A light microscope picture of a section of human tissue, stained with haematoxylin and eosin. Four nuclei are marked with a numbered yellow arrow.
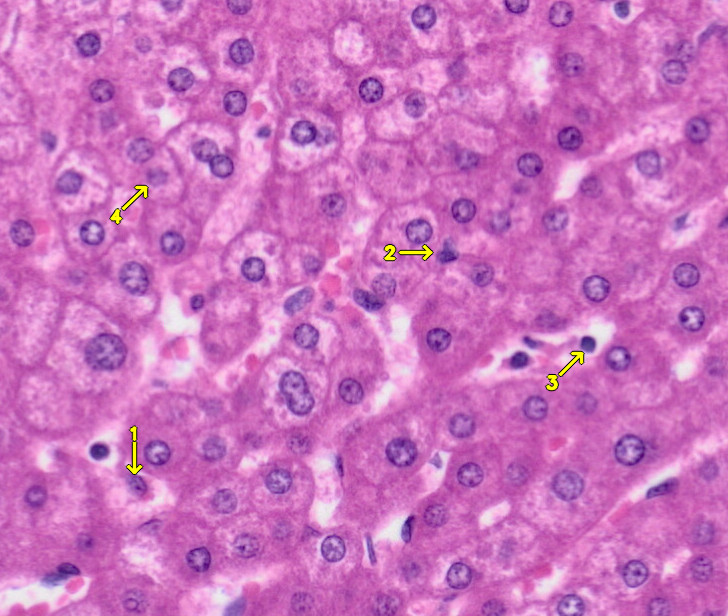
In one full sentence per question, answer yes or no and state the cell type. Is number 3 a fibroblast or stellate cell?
No, the cell that carries number 3 is a lymphocyte, not a fibroblast or stellate cell.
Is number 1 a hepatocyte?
No, cell 1 is not to be taken for a hepatocyte; it is a Kupffer cell.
